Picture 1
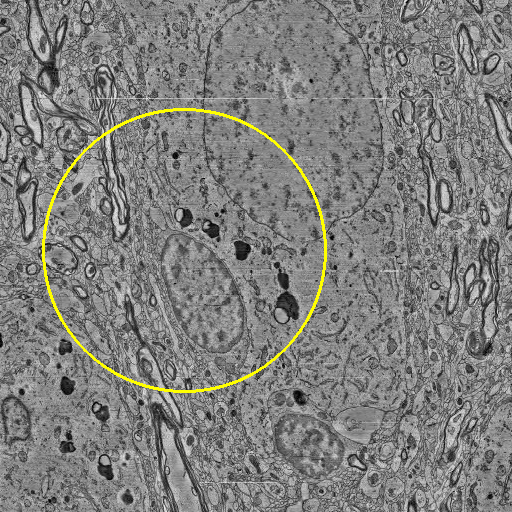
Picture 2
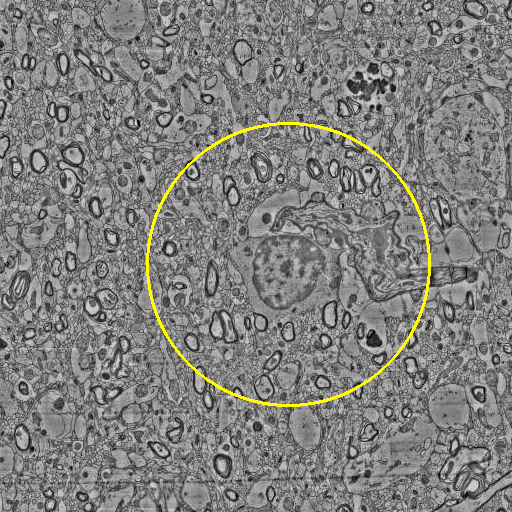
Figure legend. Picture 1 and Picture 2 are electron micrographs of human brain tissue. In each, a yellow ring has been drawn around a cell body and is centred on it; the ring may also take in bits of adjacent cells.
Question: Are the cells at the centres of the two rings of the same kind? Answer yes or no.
yes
